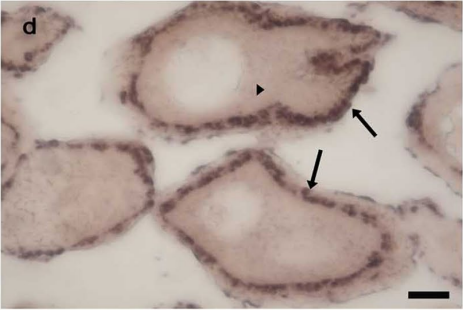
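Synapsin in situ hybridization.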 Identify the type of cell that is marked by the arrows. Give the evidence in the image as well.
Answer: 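The arrows point to a dark purple band of flat cells around each large cell. The band follows the whole outline of each large cell. The answer: follicular cells.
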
